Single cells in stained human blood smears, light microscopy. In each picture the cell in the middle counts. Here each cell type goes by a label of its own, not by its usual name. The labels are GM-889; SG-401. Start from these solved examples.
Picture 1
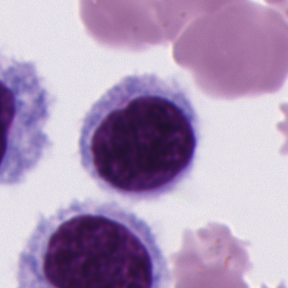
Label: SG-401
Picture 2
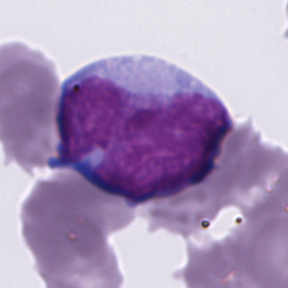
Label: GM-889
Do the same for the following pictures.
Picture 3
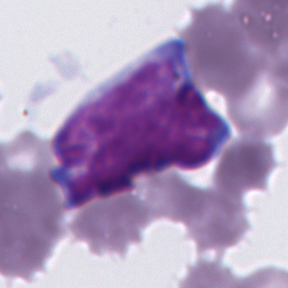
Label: GM-889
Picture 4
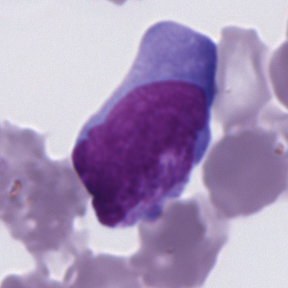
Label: GM-889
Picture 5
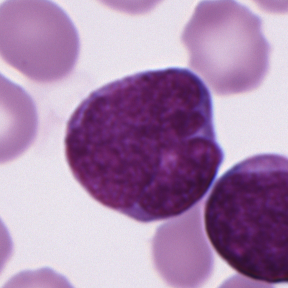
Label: GM-889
